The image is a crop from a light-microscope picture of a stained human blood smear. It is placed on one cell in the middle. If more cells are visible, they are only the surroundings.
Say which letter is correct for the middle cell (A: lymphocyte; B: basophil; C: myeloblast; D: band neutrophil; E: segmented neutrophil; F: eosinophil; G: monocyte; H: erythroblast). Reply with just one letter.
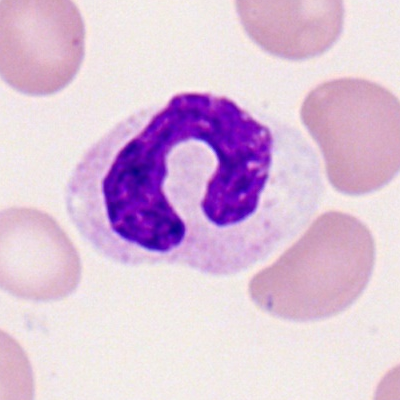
D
